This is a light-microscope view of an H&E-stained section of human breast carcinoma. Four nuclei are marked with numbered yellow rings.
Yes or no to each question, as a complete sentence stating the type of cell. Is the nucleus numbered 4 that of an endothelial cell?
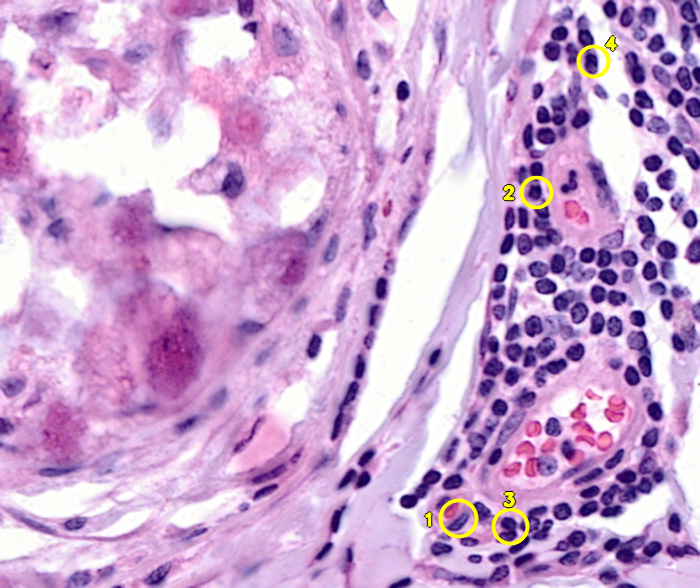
No, the cell given number 4 is a lymphocyte, not an endothelial cell.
